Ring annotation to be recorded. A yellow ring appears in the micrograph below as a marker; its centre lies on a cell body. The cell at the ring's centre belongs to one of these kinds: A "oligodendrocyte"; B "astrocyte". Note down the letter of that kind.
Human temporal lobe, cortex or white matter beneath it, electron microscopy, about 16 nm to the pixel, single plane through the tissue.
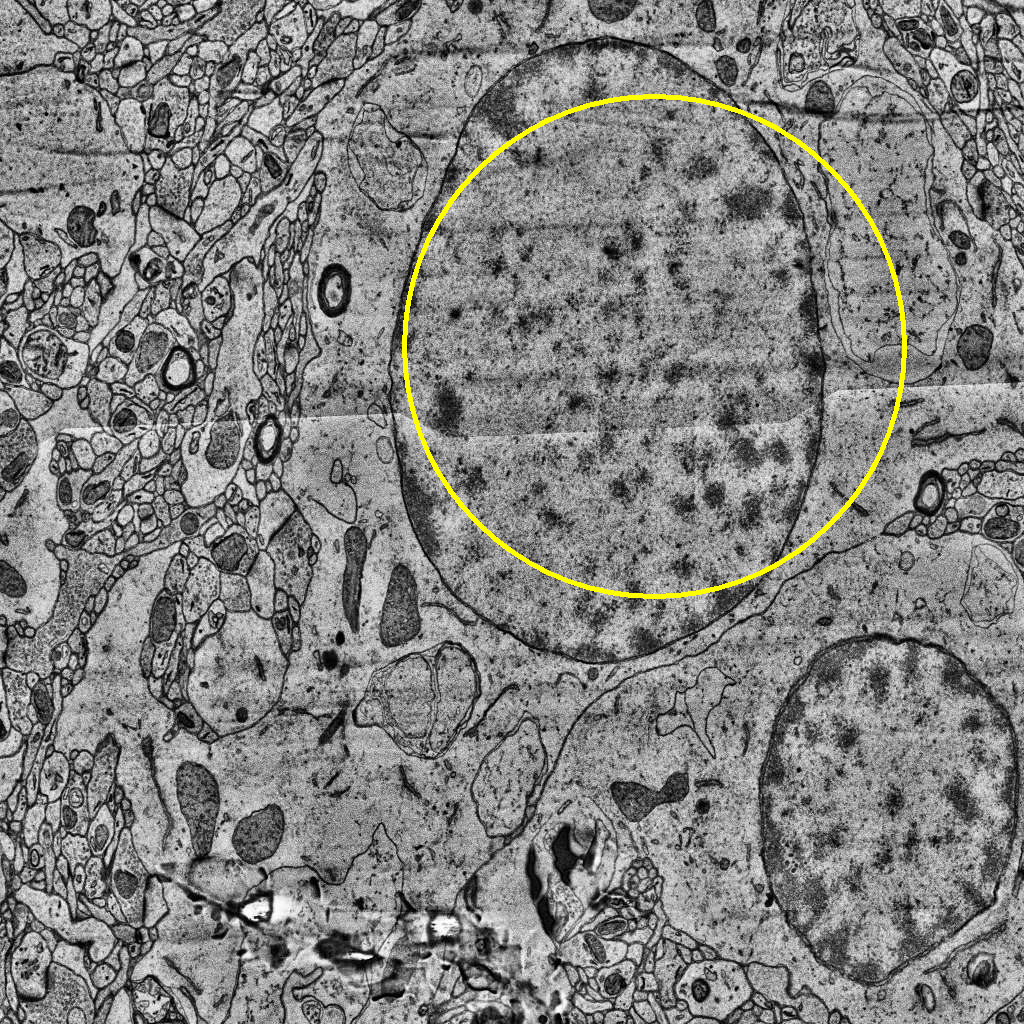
B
